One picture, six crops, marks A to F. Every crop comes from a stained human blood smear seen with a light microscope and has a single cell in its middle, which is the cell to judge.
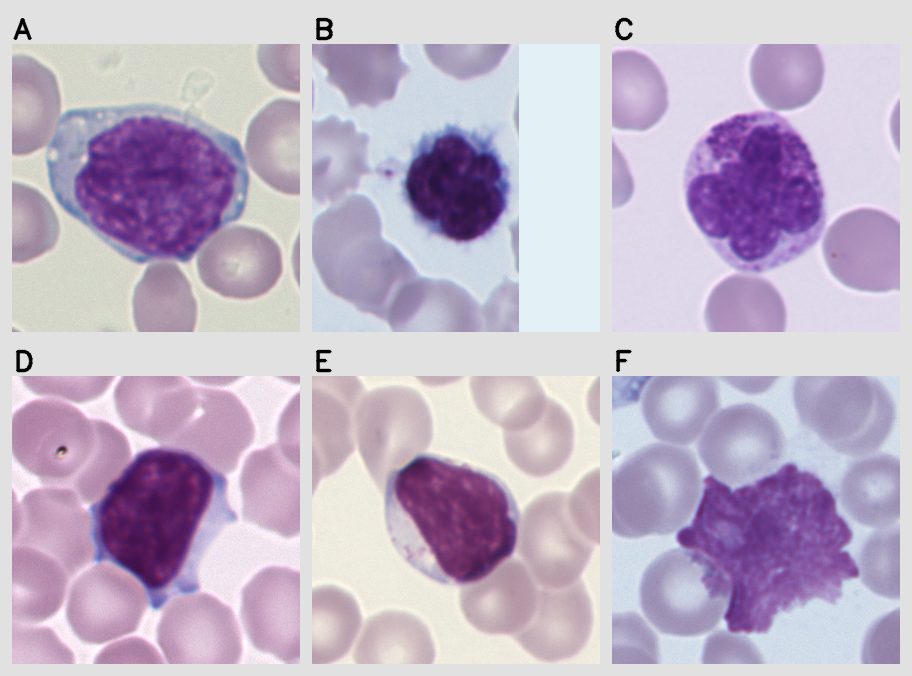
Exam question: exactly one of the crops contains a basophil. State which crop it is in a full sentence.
Among the crops given, only crop C shows a basophil.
